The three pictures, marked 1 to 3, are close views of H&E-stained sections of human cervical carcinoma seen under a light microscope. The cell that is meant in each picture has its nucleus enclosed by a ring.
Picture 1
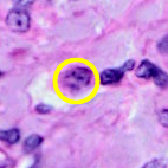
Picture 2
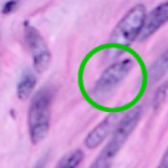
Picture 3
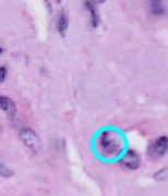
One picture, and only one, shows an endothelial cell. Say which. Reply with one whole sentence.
Picture 3 is the one that shows the endothelial cell.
